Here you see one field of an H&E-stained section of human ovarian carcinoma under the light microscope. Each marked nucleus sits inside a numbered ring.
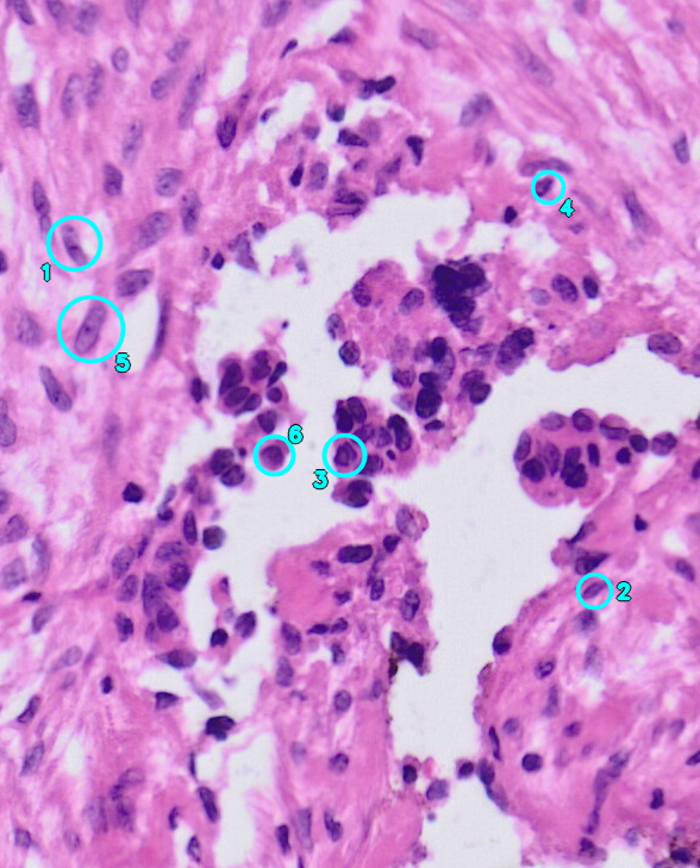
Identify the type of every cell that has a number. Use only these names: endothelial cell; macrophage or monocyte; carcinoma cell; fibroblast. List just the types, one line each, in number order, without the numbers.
fibroblast
fibroblast
carcinoma cell
fibroblast
fibroblast
carcinoma cell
